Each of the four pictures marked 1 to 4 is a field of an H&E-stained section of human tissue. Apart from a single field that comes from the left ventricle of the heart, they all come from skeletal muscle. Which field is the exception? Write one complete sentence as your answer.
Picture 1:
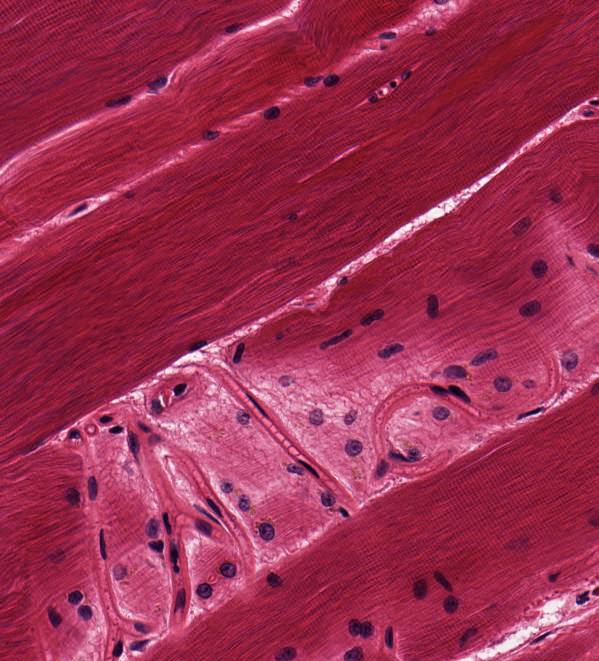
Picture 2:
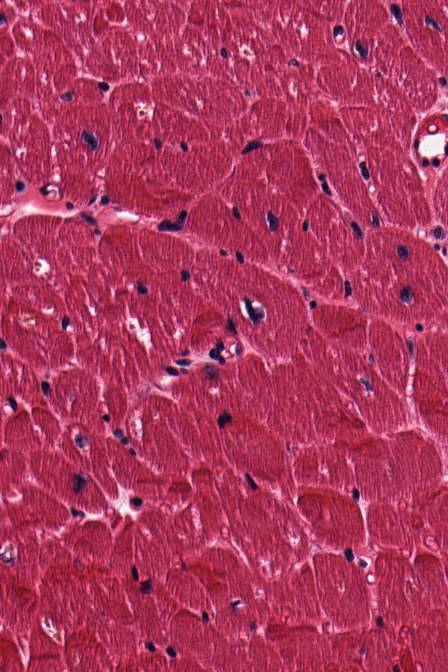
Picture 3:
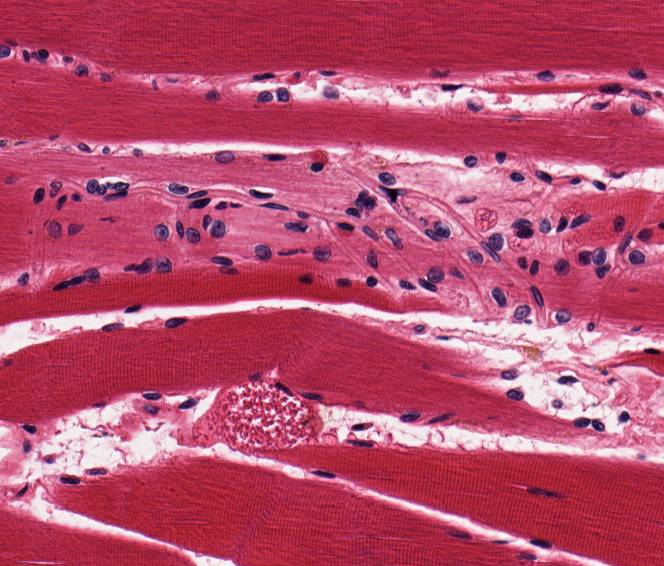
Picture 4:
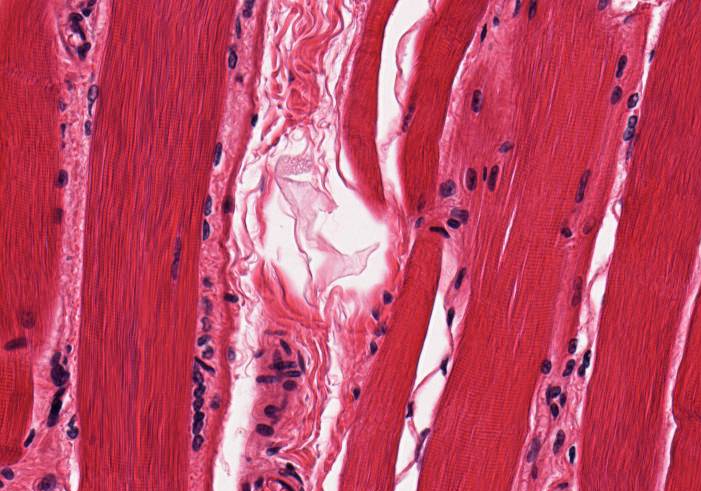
It is picture 2 that comes from the left ventricle of the heart.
